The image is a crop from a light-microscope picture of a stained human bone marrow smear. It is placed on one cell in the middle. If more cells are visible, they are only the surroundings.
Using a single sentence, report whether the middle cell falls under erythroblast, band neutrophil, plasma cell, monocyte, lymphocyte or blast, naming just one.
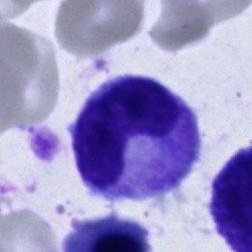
The central cell, amid any neighbouring cells, is a band neutrophil.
